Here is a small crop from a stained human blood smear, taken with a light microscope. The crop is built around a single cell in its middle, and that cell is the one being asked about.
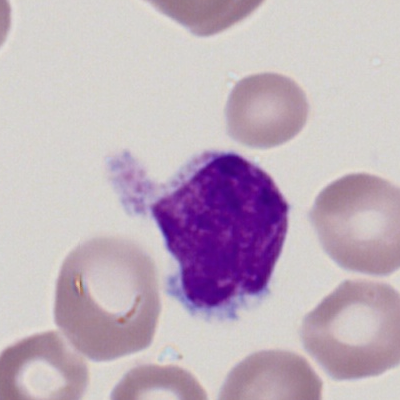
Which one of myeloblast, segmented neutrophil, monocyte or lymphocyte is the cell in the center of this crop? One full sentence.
As for the cell in the middle, it is a lymphocyte.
